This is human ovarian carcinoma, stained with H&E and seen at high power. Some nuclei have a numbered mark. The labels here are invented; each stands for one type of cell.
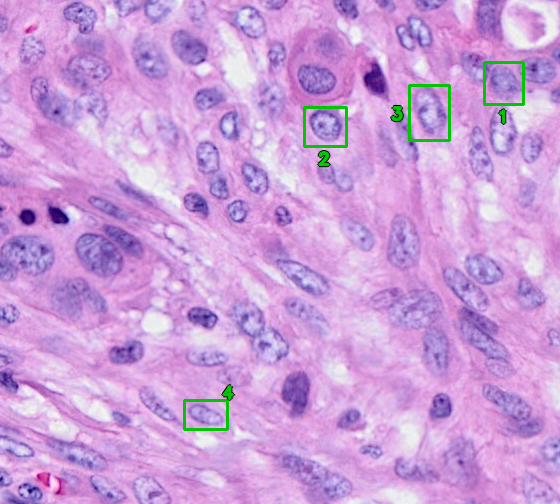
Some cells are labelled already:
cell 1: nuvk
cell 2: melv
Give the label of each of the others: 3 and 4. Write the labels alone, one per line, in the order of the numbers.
melv
melv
